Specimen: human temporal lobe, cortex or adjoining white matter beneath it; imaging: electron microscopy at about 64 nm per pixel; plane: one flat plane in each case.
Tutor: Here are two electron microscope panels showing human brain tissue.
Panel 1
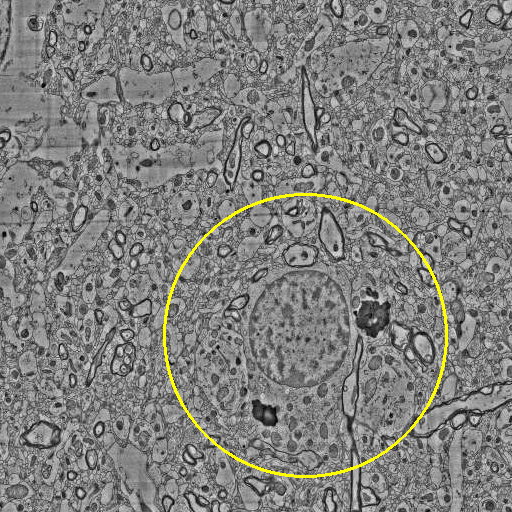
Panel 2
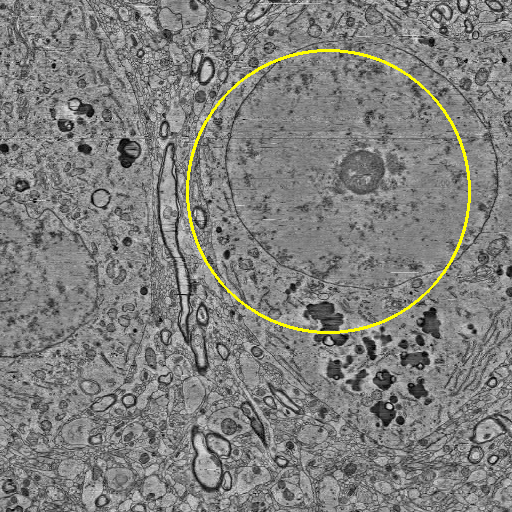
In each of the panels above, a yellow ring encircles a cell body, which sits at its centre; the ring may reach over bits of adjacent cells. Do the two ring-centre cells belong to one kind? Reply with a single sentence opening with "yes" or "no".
No, the two cells sitting at the ring centres in the panels belong to two kinds.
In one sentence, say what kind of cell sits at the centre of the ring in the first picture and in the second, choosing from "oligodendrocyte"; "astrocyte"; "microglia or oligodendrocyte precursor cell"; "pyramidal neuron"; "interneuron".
The first picture's ringed cell is an oligodendrocyte, while the second picture's is a pyramidal neuron.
